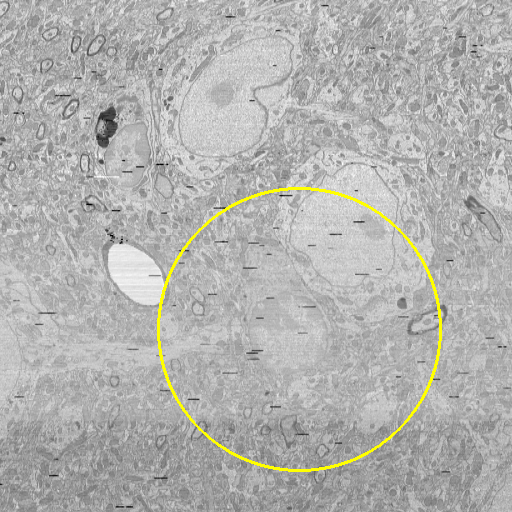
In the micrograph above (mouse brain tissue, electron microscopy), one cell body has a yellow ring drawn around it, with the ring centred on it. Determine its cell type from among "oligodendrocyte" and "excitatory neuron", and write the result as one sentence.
The cell whose body is ringed is an oligodendrocyte.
